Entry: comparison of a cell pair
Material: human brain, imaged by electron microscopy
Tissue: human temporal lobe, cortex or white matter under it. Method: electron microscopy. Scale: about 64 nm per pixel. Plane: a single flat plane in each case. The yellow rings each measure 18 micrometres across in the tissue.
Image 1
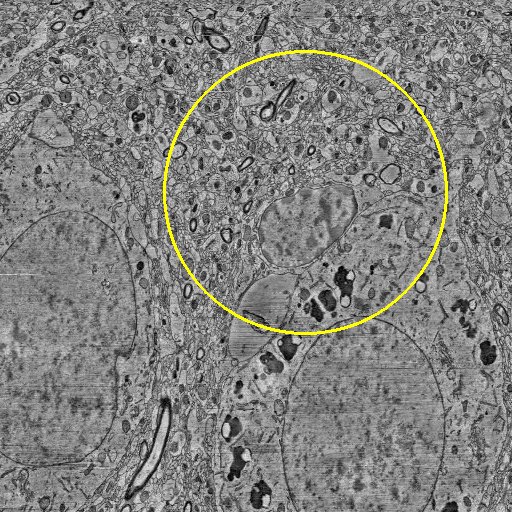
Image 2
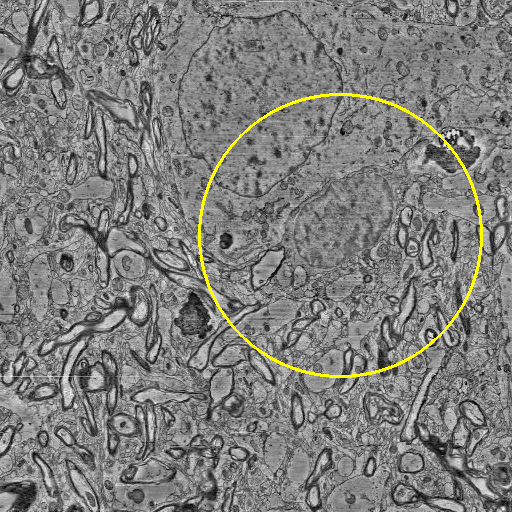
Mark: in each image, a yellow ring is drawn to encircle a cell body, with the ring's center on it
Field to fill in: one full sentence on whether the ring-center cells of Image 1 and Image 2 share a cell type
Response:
No, Image 1 and Image 2 show ring-center cells of two separate types.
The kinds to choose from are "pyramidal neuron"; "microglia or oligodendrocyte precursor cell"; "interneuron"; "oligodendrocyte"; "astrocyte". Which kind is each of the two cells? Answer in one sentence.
Of the two, the first cell is a microglial cell or oligodendrocyte precursor cell and the second cell is an oligodendrocyte.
